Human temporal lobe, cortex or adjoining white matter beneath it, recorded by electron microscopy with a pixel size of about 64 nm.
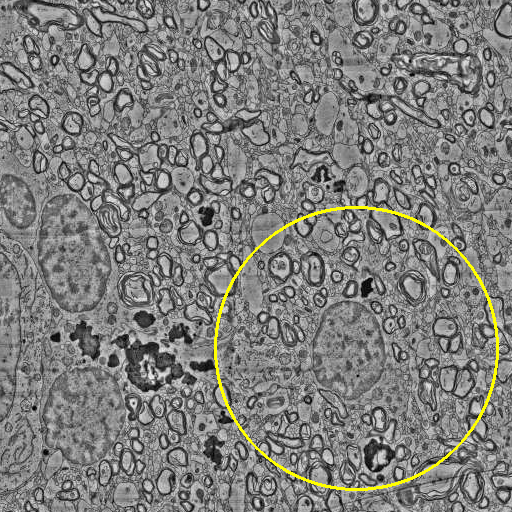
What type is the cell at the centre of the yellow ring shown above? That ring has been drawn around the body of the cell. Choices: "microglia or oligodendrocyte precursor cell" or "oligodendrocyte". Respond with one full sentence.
My answer is that an oligodendrocyte lies at the centre of the yellow ring above.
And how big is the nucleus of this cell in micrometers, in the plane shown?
The nucleus works out at approximately 6 by 5 micrometres in this plane.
